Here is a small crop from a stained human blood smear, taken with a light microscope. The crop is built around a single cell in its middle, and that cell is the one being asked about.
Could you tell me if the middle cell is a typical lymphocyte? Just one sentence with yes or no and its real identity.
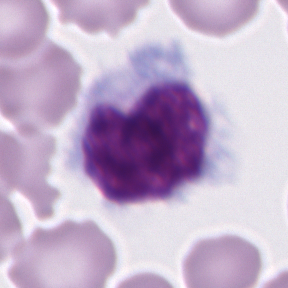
No, the centrally located cell is a hairy cell rather than a typical lymphocyte.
